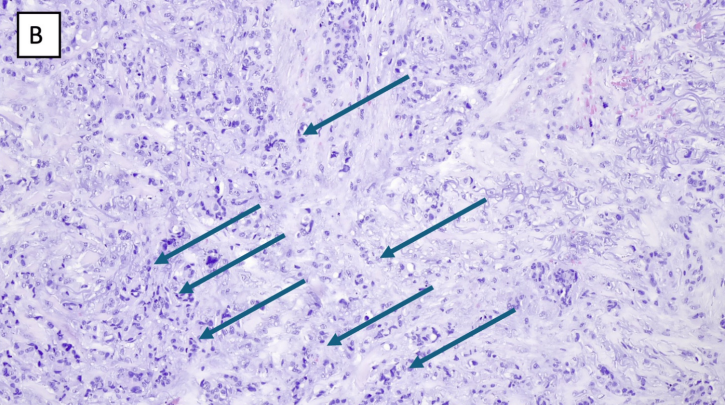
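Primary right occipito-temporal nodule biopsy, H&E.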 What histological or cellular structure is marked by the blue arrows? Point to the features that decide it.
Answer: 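Cells are lined up in narrow strands and small nests. The strands lie in pale fibrous stroma. Nuclei vary in size and shape. On this evidence: cords of atypical cells.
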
